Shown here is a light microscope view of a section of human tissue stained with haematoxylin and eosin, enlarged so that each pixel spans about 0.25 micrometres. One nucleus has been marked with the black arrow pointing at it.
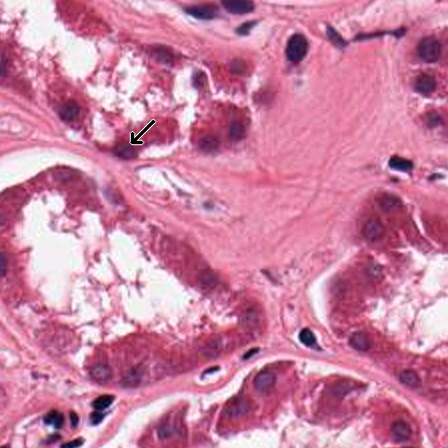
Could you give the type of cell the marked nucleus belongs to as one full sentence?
Marked in this picture is the nucleus of a proximal tubule cell.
